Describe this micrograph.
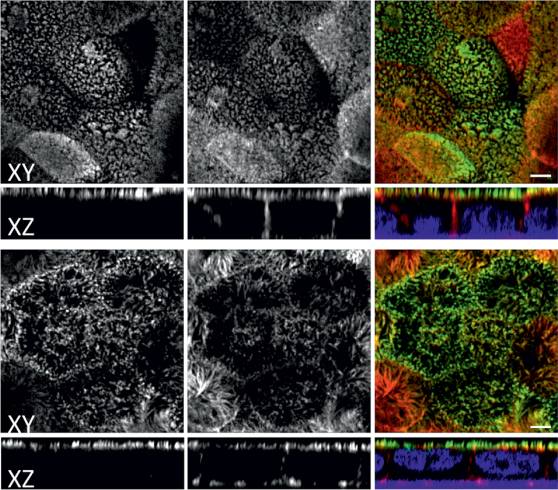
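In the upper set a dense, finely dotted green and red staining covers the apical surfaces of the cells, and in side view it forms a continuous layer along the top of the cell sheet, with red lines running down between cells. In the lower set the apical staining is patchier, and many cells carry long, streaky red and green bundles that fan out across the surface. In the side views of the lower set the cell layer looks flatter and the apical stained layer is thinner.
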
